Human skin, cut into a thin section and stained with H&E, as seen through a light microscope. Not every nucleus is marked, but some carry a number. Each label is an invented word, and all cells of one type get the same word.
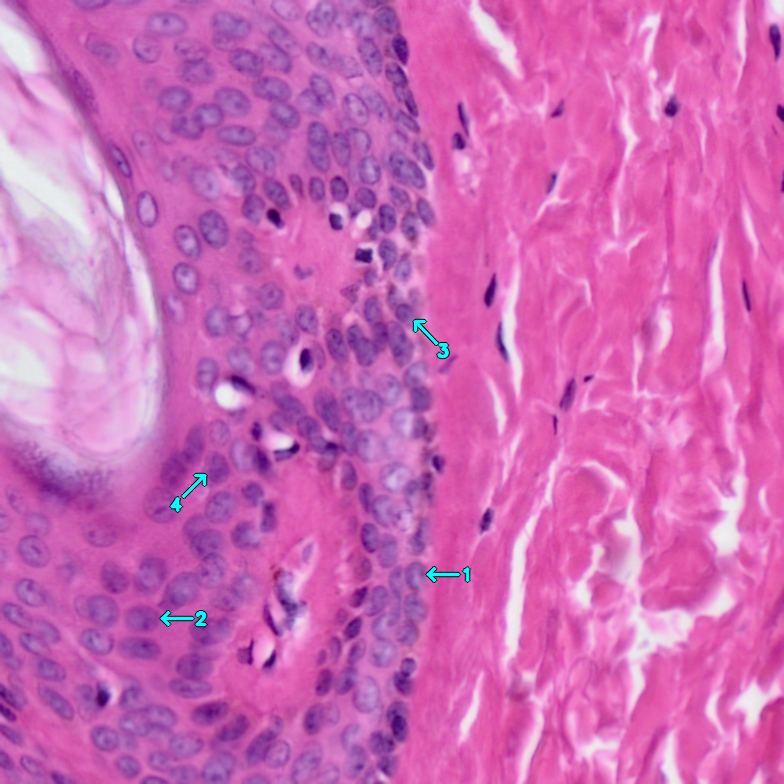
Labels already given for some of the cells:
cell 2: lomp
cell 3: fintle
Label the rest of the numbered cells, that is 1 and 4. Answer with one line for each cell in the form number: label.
1: fintle
4: lomp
